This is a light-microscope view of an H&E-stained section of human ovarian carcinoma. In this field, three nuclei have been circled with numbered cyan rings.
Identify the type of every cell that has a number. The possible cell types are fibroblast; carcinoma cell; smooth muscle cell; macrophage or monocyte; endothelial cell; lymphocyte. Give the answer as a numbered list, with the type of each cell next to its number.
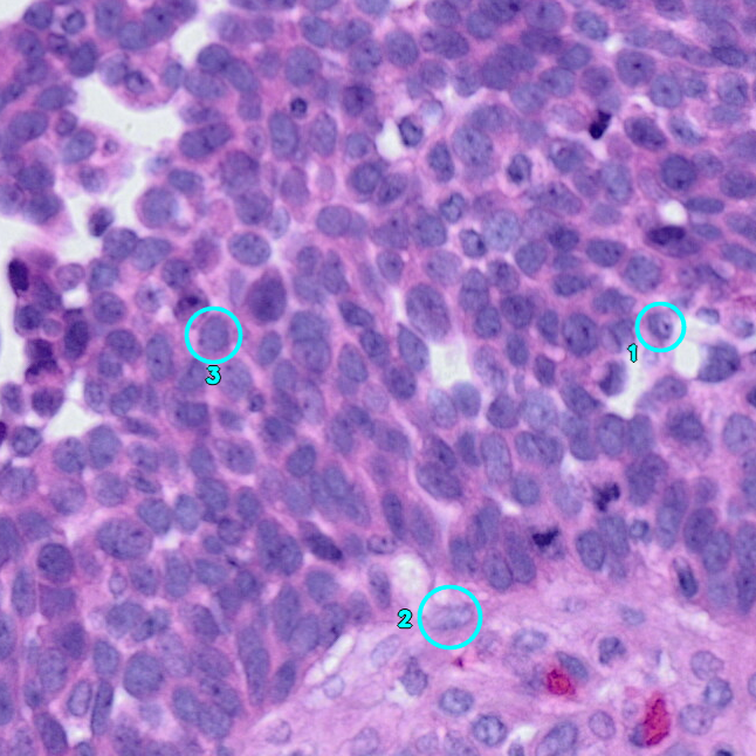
1. macrophage or monocyte
2. fibroblast
3. carcinoma cell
